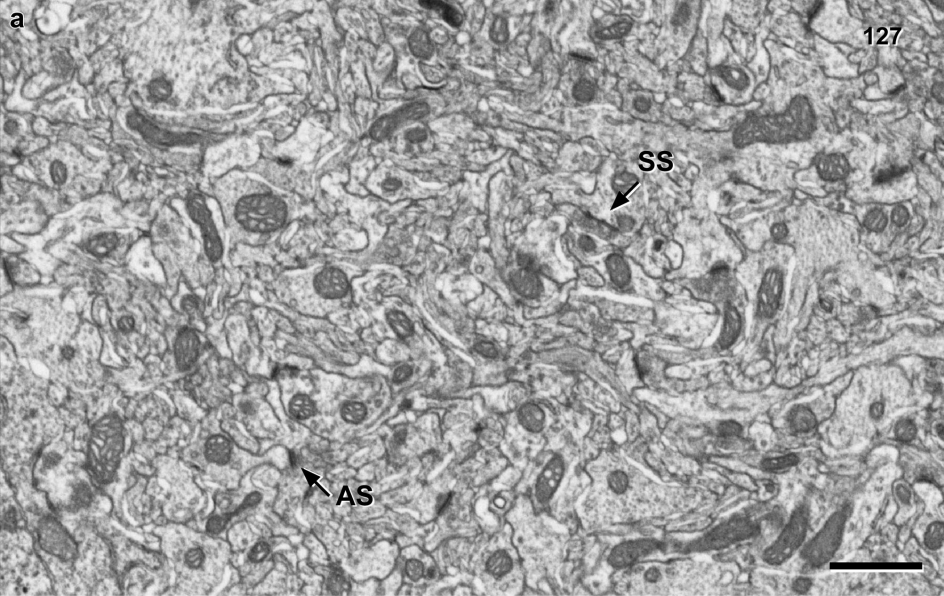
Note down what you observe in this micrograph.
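A densely packed neuropil is shown at low magnification, in which numerous synaptic junctions can be made out as short dark membrane densities between closely apposed profiles. The field is filled with cut profiles of neuronal processes of varied sizes, many containing round or elongated mitochondria with visible internal cristae. Thin dark membranes outline each profile, and some larger profiles run obliquely across the field, with smaller vesicle-filled profiles between them. No cell bodies or nuclei are included; the image consists of processes only.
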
